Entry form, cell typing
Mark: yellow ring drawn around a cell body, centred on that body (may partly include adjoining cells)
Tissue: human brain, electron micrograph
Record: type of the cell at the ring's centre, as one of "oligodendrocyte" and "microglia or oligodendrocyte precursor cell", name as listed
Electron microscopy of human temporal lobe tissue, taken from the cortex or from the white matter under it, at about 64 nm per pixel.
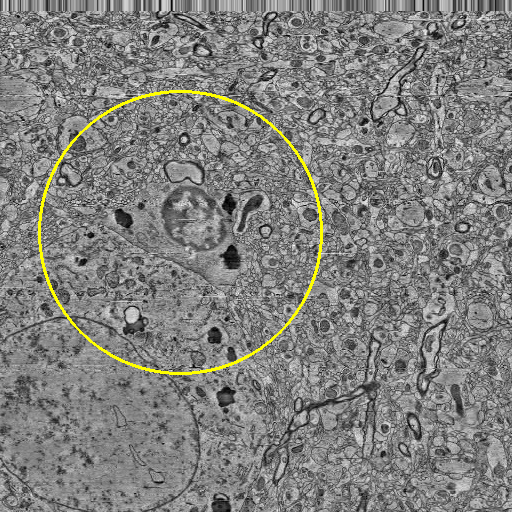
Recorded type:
oligodendrocyte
